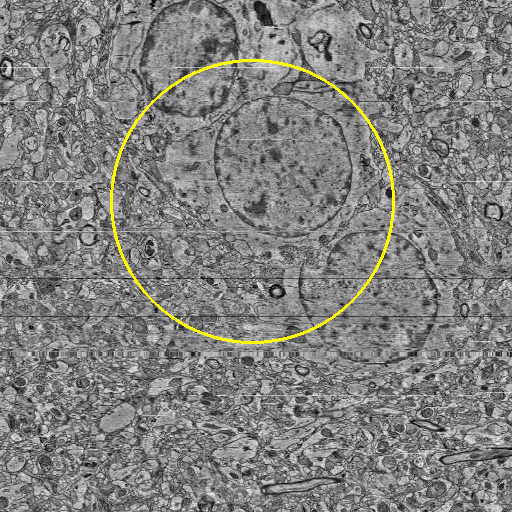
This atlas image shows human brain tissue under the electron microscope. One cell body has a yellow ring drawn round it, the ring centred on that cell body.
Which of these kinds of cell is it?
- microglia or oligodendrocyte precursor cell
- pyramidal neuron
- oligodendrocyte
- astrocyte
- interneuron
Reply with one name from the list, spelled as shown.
astrocyte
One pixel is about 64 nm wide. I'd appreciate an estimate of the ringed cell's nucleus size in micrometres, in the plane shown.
About 9 micrometres across, as seen in this plane.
